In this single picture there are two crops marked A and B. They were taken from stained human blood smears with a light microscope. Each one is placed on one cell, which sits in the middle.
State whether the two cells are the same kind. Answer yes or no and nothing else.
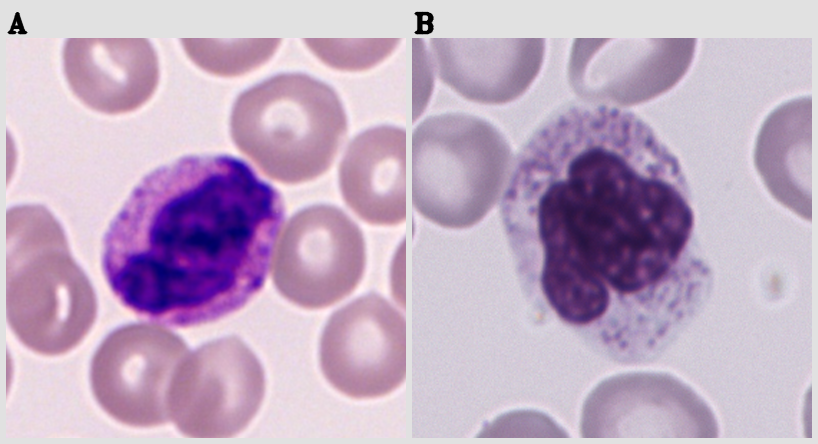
no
